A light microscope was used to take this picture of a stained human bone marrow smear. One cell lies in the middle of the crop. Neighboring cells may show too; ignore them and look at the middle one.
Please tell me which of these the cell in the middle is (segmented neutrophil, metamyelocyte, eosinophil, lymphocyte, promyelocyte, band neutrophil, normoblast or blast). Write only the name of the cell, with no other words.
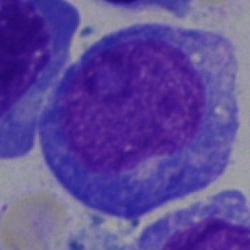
blast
